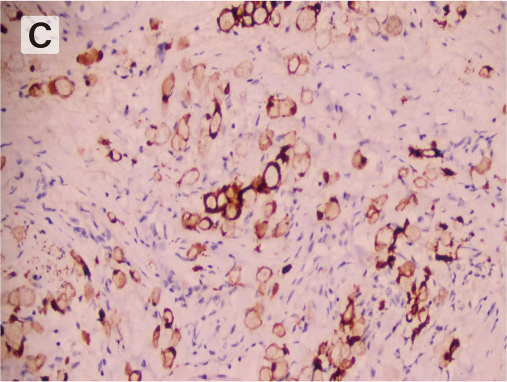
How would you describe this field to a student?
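Scattered rounded tumour cells lie singly and in small groups within a loose stroma. Many of these cells show a brown-stained rim, outlining a clear central vacuole, with some cells stained more heavily and irregularly. Between them the stroma holds spindle-shaped cells with small blue nuclei and pale fibres. The brown-stained cells stand out sharply against the pale blue background.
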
